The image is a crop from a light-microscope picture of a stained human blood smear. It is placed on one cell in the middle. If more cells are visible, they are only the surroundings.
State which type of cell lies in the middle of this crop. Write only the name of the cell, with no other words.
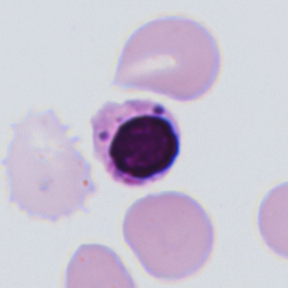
normoblast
